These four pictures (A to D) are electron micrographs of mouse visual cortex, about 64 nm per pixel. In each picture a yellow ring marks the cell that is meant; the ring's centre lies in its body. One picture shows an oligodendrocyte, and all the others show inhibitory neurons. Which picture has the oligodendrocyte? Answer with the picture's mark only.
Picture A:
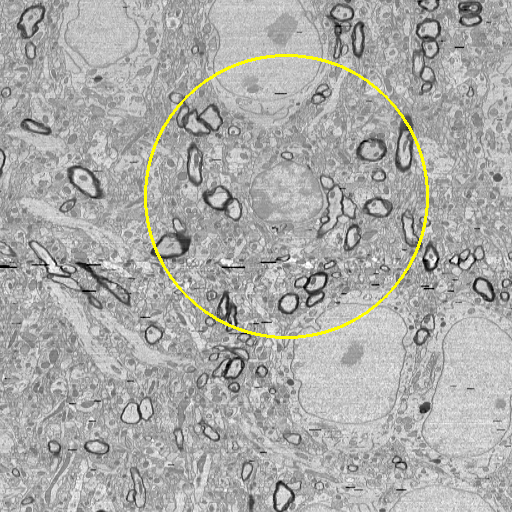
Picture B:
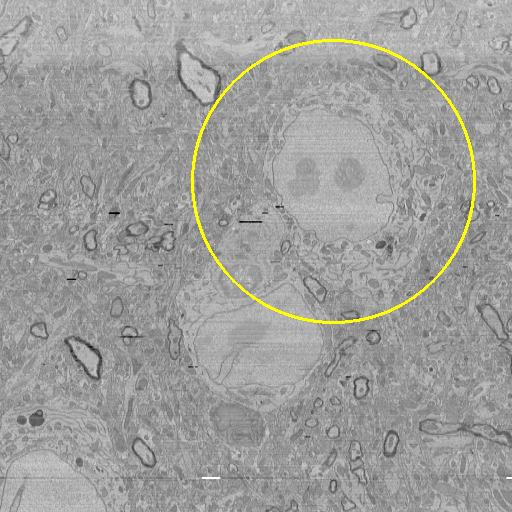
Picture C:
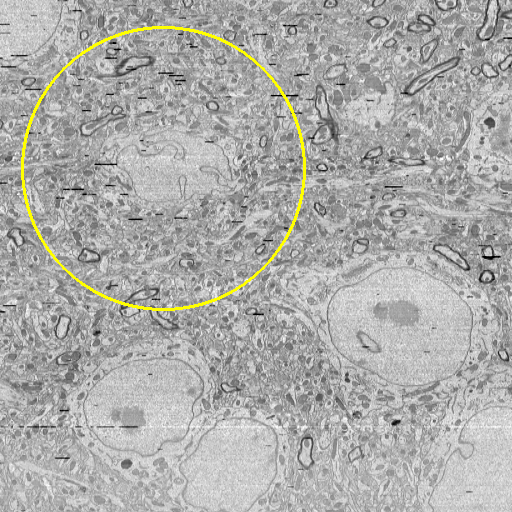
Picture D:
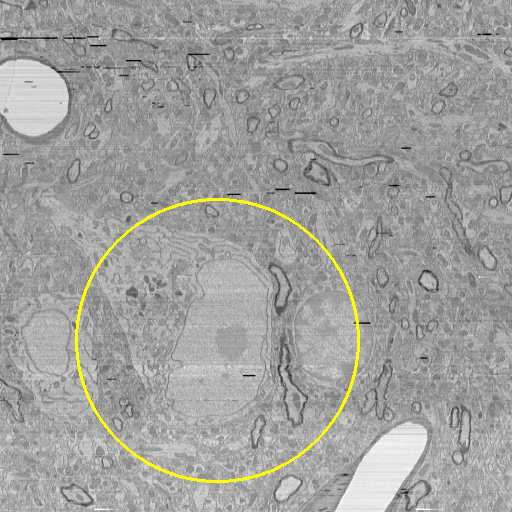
A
